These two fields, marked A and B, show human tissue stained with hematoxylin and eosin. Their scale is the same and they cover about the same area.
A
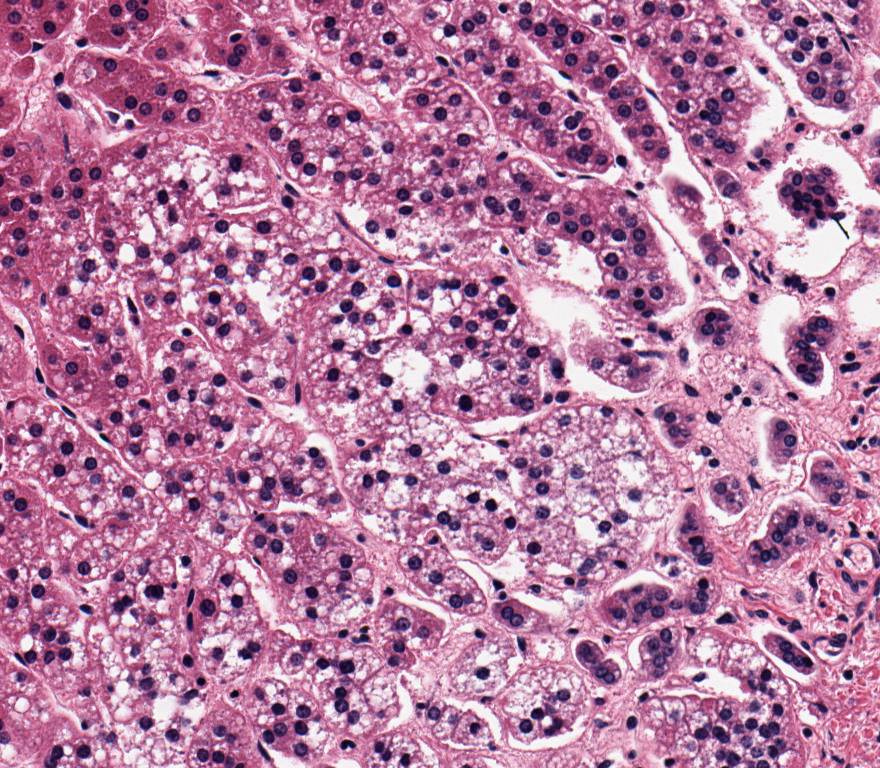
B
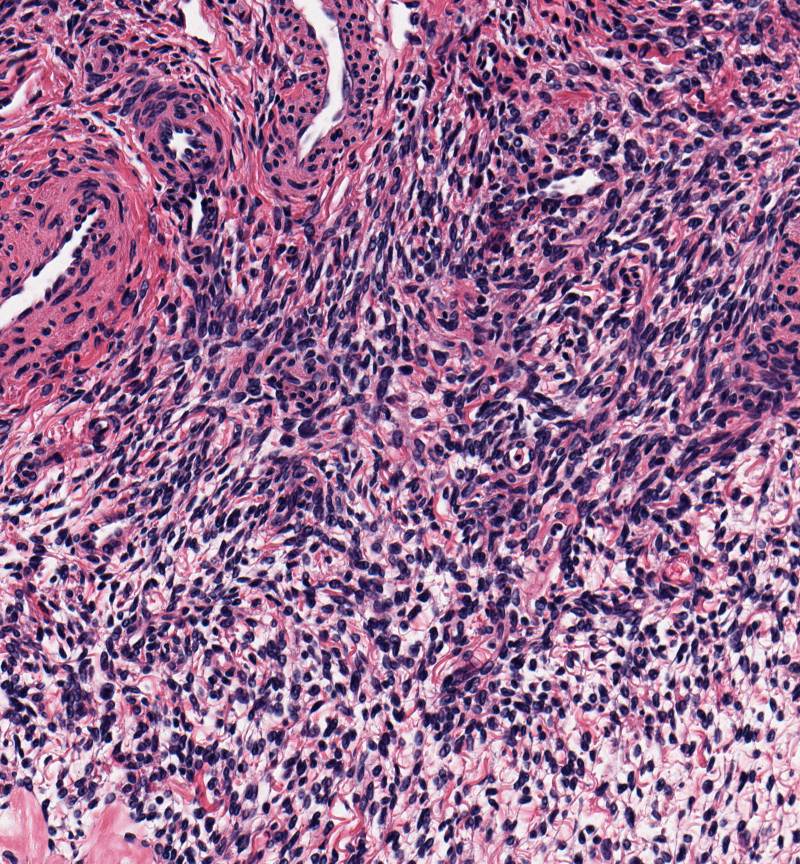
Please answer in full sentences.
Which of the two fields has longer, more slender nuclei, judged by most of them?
The nuclei are more elongated in field B.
